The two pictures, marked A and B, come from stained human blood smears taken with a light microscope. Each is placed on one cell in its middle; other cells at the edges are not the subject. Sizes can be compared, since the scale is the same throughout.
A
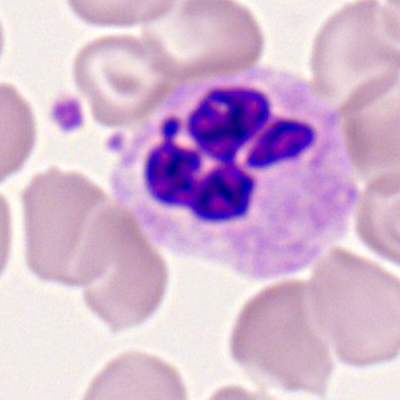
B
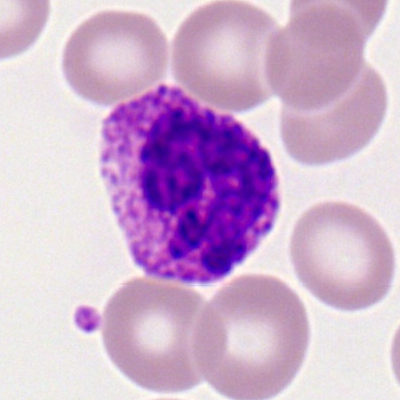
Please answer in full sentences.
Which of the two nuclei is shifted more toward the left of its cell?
Seen within its cell, the nucleus in picture A lies further toward the left.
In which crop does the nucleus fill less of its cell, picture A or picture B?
The nucleus fills less of the cell in picture A than in picture B.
